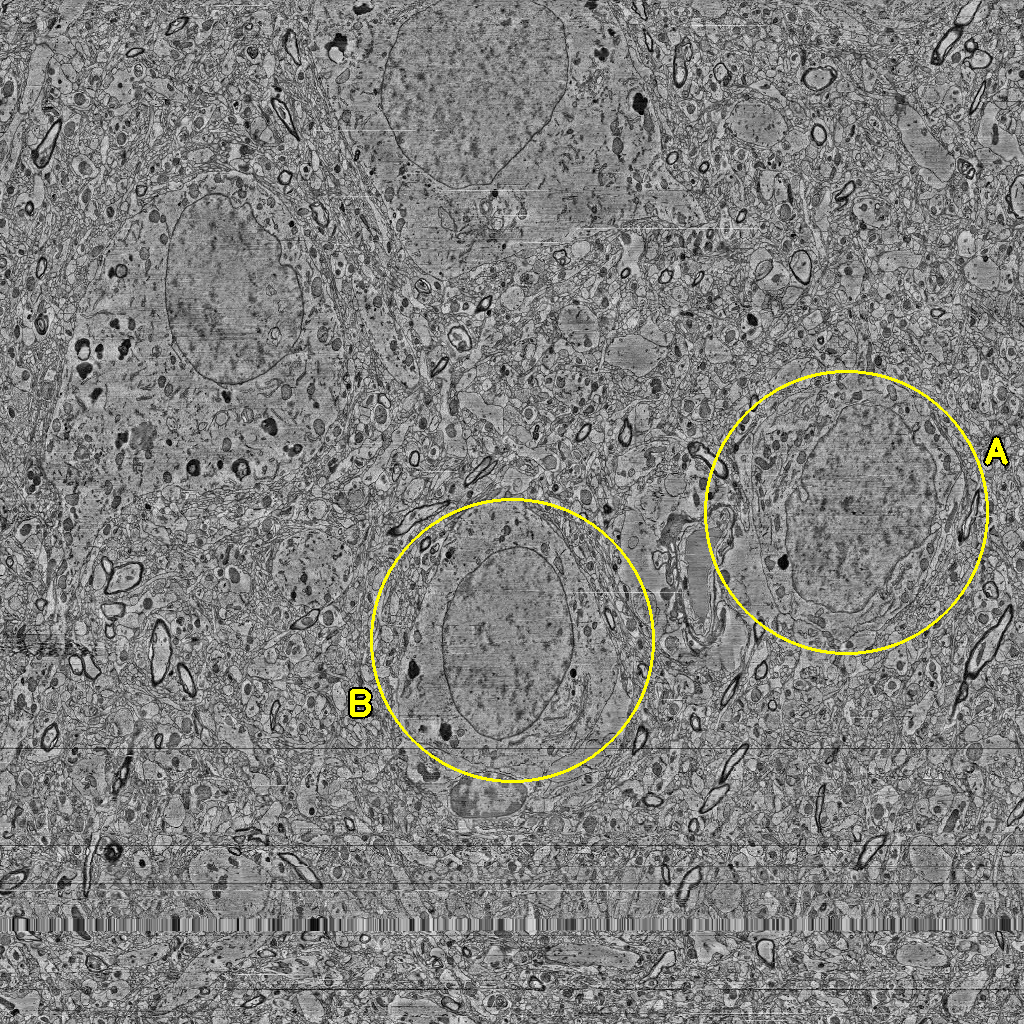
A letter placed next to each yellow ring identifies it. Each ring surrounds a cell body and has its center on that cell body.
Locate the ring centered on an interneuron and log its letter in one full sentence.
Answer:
Ring A has at its center the cell that the task asks for.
